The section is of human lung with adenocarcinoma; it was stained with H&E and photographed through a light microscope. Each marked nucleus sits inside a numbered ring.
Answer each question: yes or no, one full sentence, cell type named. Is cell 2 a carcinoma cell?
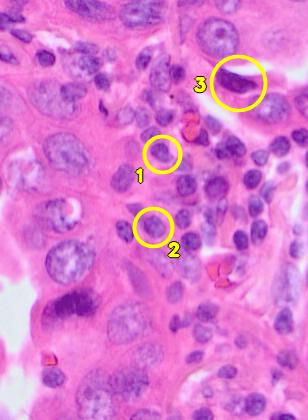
No, it is a lymphocyte, not a carcinoma cell, that number 2 marks.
